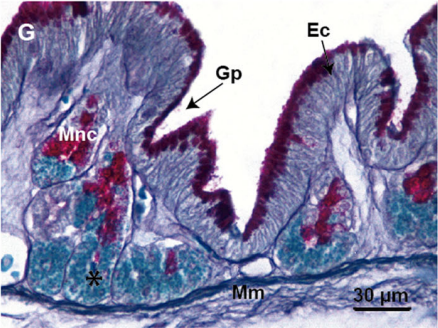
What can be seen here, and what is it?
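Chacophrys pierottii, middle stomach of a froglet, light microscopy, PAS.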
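Gastric mucosa with gastric pits and gastric glands. Thin connective tissue septa separate the glands, and a thin layer of muscle and connective tissue runs along the base of the mucosa.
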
